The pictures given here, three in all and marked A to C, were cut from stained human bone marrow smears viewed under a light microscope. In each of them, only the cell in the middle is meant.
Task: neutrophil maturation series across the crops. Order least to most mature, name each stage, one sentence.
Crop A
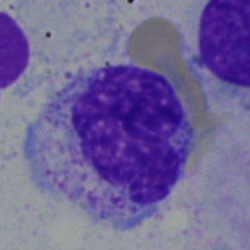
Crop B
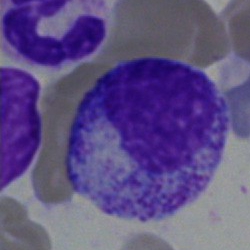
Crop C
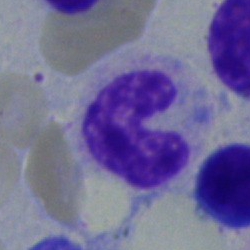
Lined up by maturity, least mature to most mature, they are crop B (a myelocyte), crop A (a metamyelocyte) and crop C (a band neutrophil).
